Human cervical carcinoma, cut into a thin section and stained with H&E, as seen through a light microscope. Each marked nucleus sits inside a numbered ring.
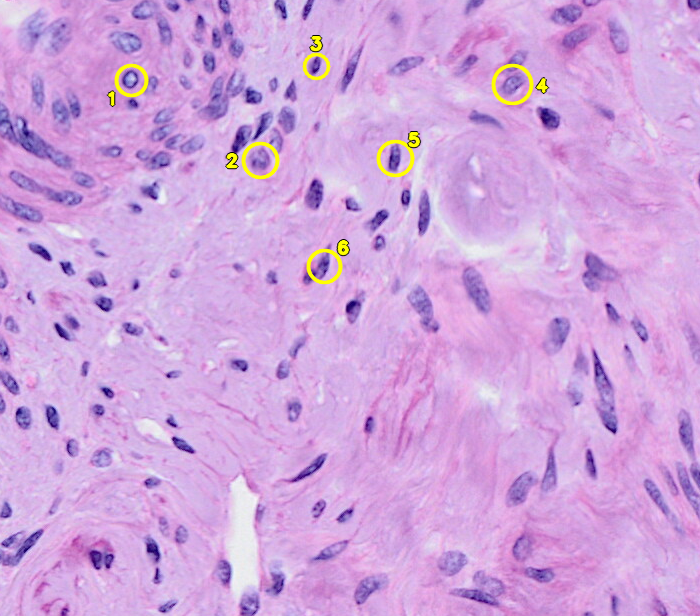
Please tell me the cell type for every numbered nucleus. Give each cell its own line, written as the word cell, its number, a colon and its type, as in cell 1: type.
cell 1: smooth muscle cell
cell 2: endothelial cell
cell 3: fibroblast
cell 4: smooth muscle cell
cell 5: fibroblast
cell 6: fibroblast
